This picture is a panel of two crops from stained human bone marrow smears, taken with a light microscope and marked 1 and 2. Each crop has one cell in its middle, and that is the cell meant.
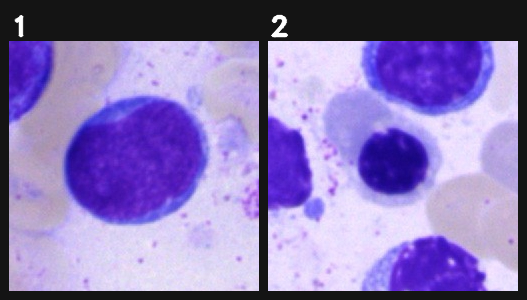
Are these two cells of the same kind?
no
